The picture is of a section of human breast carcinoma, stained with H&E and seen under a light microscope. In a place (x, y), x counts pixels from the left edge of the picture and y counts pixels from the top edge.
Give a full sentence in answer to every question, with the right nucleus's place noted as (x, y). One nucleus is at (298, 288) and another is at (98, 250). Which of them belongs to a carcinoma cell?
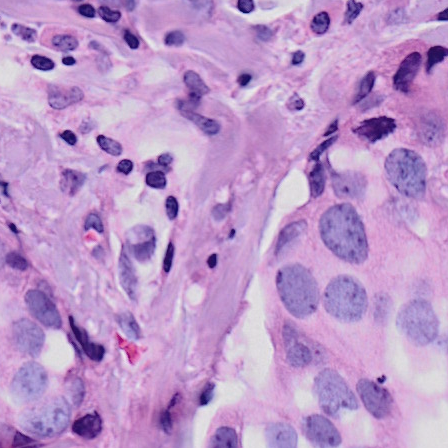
That would be the nucleus at (298, 288); it belongs to a carcinoma cell.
